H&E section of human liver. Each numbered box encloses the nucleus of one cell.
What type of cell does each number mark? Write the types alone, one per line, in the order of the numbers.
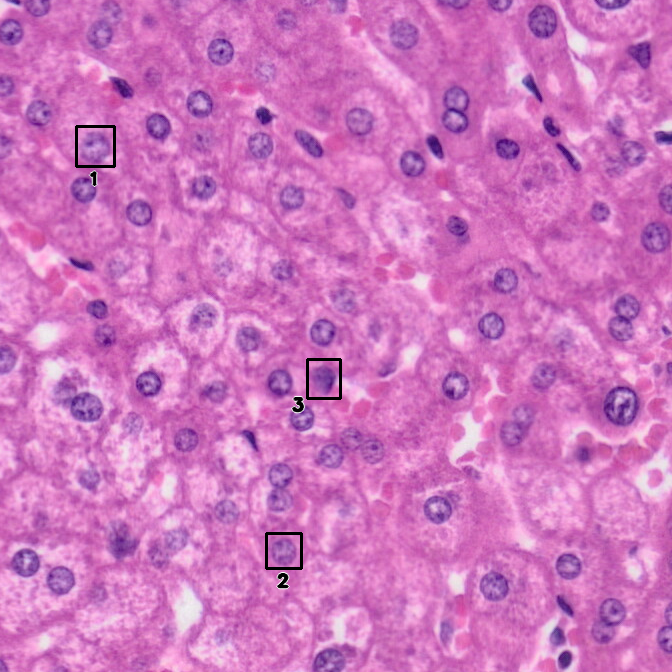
hepatocyte
hepatocyte
endothelial cell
